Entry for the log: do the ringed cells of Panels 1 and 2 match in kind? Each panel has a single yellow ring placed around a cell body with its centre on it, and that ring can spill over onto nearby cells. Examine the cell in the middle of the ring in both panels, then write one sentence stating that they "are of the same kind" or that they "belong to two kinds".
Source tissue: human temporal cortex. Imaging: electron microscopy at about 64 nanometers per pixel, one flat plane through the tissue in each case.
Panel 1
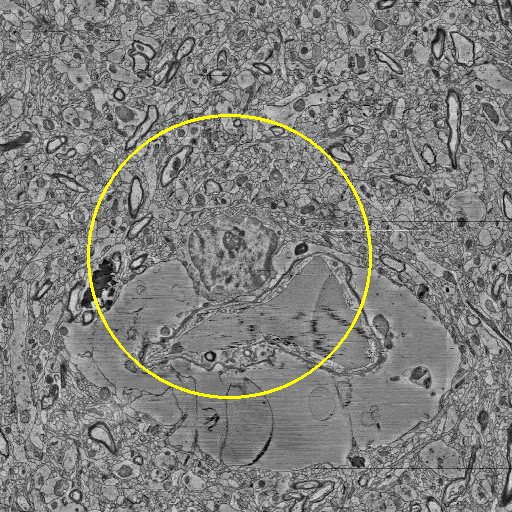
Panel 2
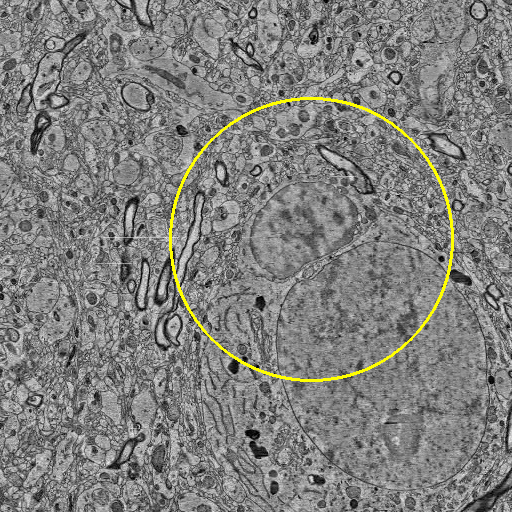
The centre cell of Panel 1's ring and that of Panel 2's ring are of the same kind.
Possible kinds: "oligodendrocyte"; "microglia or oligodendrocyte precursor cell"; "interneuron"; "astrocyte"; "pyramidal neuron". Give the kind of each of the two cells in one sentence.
In both pictures the ring is centred on an oligodendrocyte.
